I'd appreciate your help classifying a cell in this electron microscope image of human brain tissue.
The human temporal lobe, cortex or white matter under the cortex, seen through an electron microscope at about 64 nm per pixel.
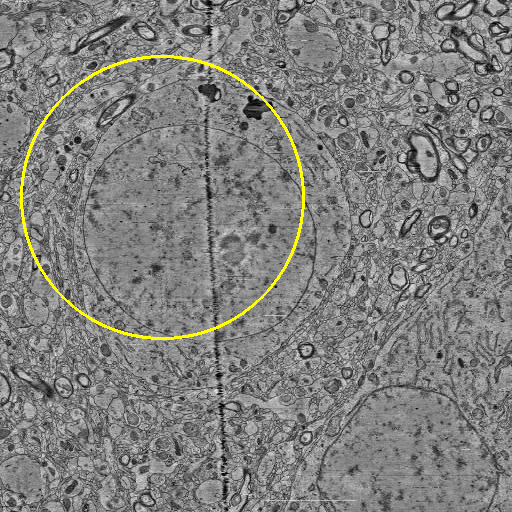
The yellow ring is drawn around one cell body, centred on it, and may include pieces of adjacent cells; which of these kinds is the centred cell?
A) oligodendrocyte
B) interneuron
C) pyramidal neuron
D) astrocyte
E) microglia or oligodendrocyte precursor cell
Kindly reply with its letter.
C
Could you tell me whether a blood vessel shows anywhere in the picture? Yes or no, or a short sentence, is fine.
No, none shows.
